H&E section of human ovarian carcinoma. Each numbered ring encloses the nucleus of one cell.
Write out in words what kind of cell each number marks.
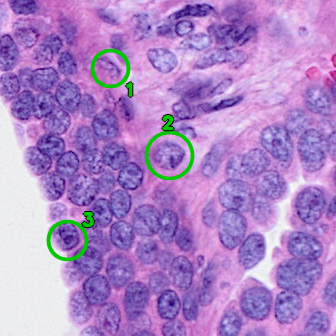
Cells 1 and 2 are fibroblasts. Cell 3 is a carcinoma cell.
